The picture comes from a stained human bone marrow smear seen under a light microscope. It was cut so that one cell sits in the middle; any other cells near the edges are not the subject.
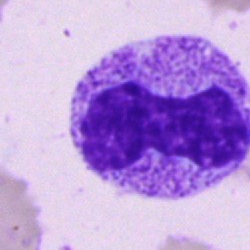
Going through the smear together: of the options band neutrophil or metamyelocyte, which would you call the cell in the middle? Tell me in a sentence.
The middle position in this crop is taken by a band neutrophil.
